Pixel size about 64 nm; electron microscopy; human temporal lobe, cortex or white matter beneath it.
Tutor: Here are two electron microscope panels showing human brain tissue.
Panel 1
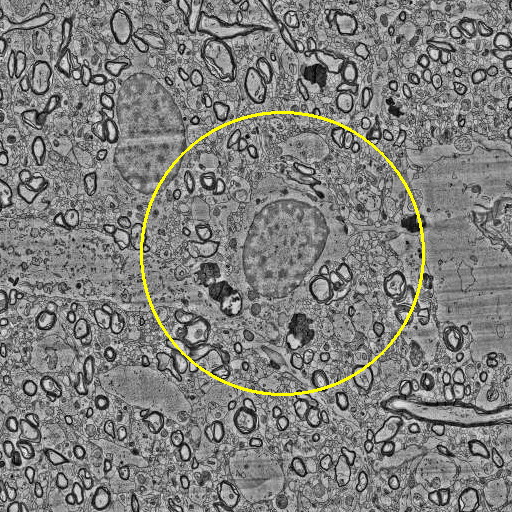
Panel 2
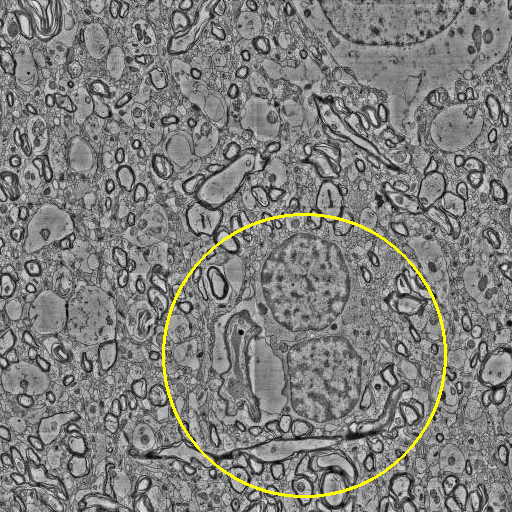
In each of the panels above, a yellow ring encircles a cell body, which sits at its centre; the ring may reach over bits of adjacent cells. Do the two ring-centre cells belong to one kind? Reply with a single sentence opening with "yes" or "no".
Yes, the two cells sitting at the ring centres in the panels belong to one kind.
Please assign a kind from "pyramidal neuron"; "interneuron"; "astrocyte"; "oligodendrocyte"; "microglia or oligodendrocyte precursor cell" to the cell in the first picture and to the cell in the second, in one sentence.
Both the first and the second picture show an oligodendrocyte in the ring.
